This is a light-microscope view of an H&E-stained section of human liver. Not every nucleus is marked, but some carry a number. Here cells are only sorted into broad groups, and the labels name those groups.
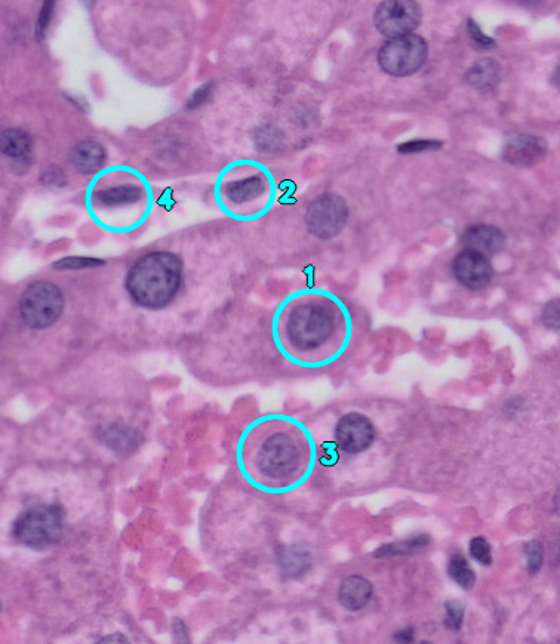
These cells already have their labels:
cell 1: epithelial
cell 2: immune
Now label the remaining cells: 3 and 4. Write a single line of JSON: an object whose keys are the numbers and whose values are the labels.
{"3": "epithelial", "4": "immune"}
